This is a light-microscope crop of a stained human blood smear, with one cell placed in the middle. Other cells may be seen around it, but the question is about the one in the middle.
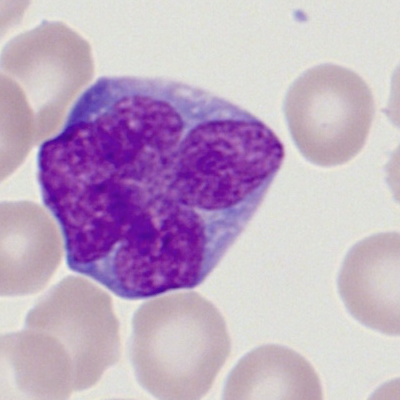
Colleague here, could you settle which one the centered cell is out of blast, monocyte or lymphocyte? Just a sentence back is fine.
The cell in the middle of the field of view is a blast.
